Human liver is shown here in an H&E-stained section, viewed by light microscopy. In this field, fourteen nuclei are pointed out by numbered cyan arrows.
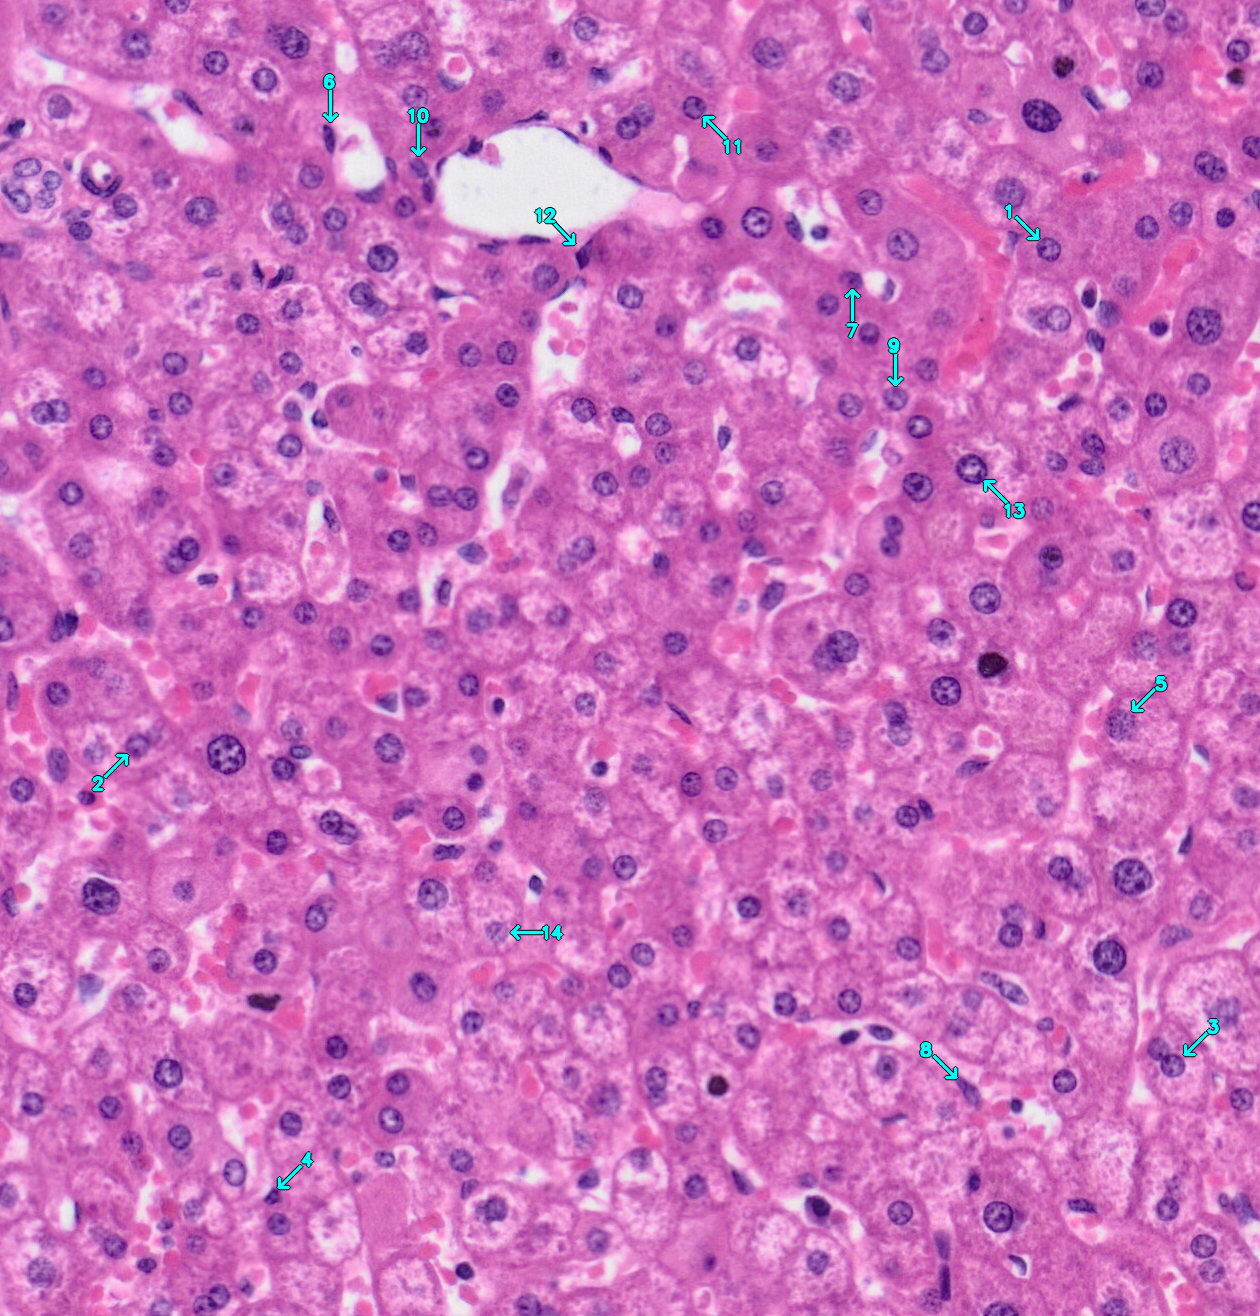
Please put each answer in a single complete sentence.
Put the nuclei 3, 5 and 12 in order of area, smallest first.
From smallest to largest, the order is 12, 3, 5.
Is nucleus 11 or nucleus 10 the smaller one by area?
With nucleus 11 about 1.5 times its size, nucleus 10 is the smaller of the two.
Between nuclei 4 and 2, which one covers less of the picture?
Number 4 is smaller, since number 2 takes up about 2 times as much area.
